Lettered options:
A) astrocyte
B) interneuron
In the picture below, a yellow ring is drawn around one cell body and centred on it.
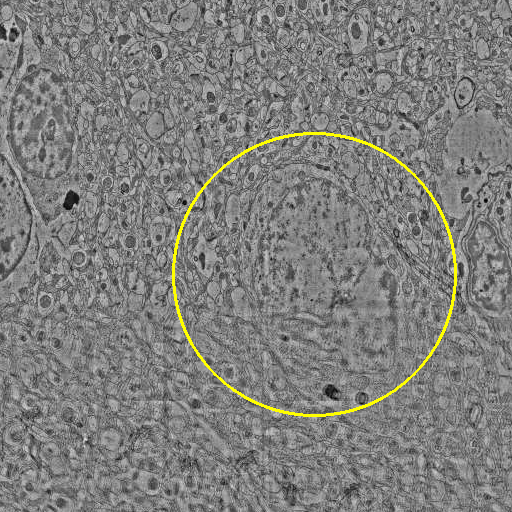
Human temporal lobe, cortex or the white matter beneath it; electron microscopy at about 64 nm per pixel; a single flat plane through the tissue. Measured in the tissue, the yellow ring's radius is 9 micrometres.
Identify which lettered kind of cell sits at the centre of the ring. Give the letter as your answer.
B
